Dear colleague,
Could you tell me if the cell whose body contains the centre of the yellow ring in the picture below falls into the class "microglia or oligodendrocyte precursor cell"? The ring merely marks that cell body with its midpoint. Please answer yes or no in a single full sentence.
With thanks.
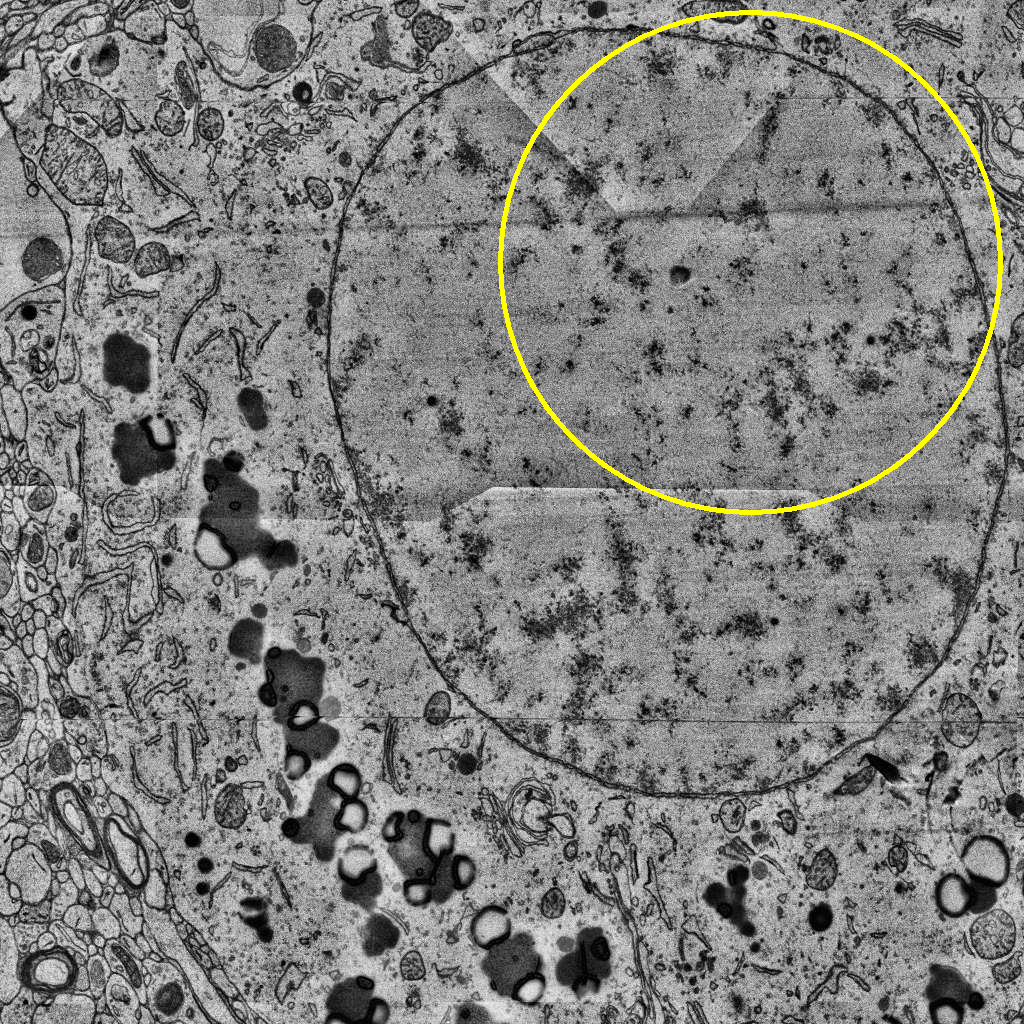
No, the cell containing the centre of the ring in your picture falls into a different class.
